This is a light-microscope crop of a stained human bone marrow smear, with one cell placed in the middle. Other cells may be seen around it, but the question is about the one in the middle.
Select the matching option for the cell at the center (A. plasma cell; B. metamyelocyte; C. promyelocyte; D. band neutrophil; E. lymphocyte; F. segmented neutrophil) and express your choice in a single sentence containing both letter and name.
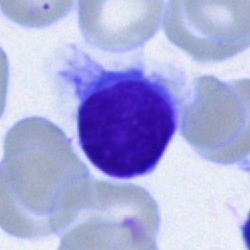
The correct option, E, names the middle cell as a lymphocyte.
